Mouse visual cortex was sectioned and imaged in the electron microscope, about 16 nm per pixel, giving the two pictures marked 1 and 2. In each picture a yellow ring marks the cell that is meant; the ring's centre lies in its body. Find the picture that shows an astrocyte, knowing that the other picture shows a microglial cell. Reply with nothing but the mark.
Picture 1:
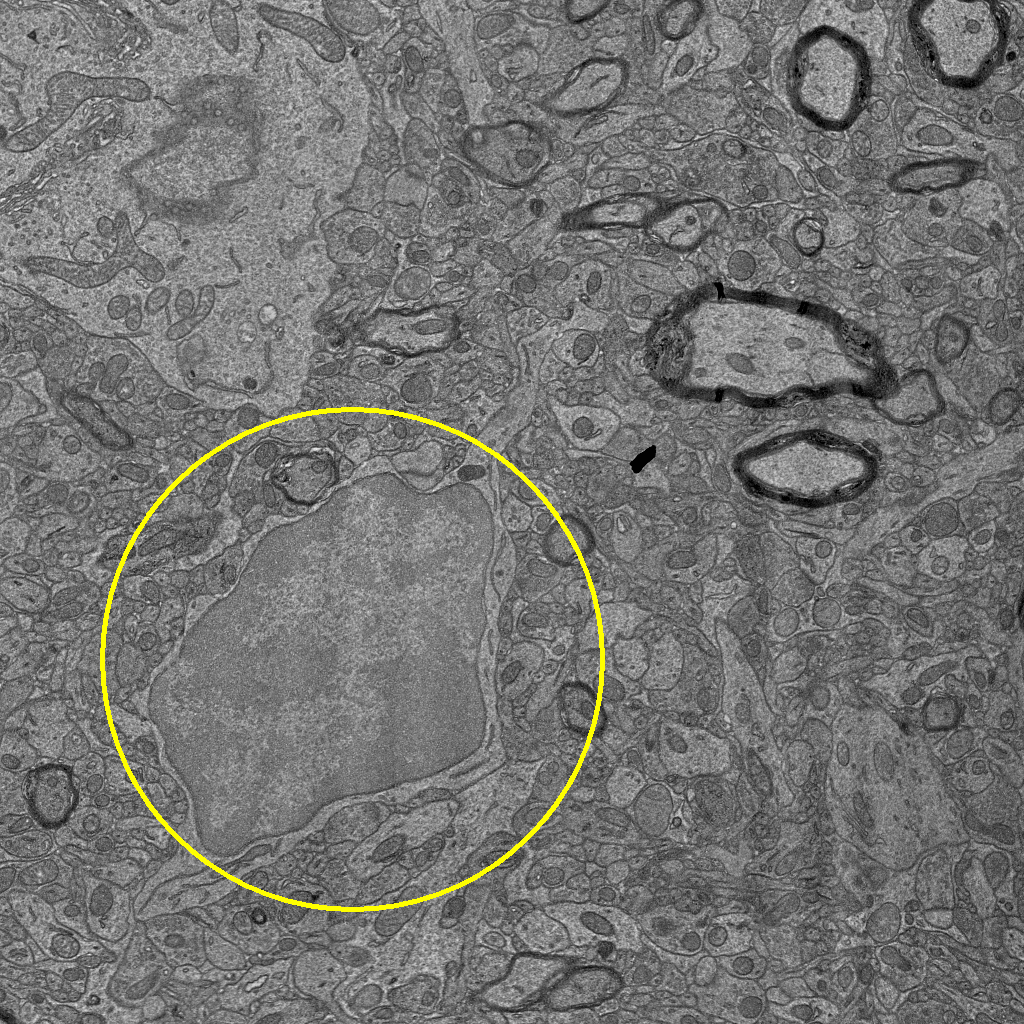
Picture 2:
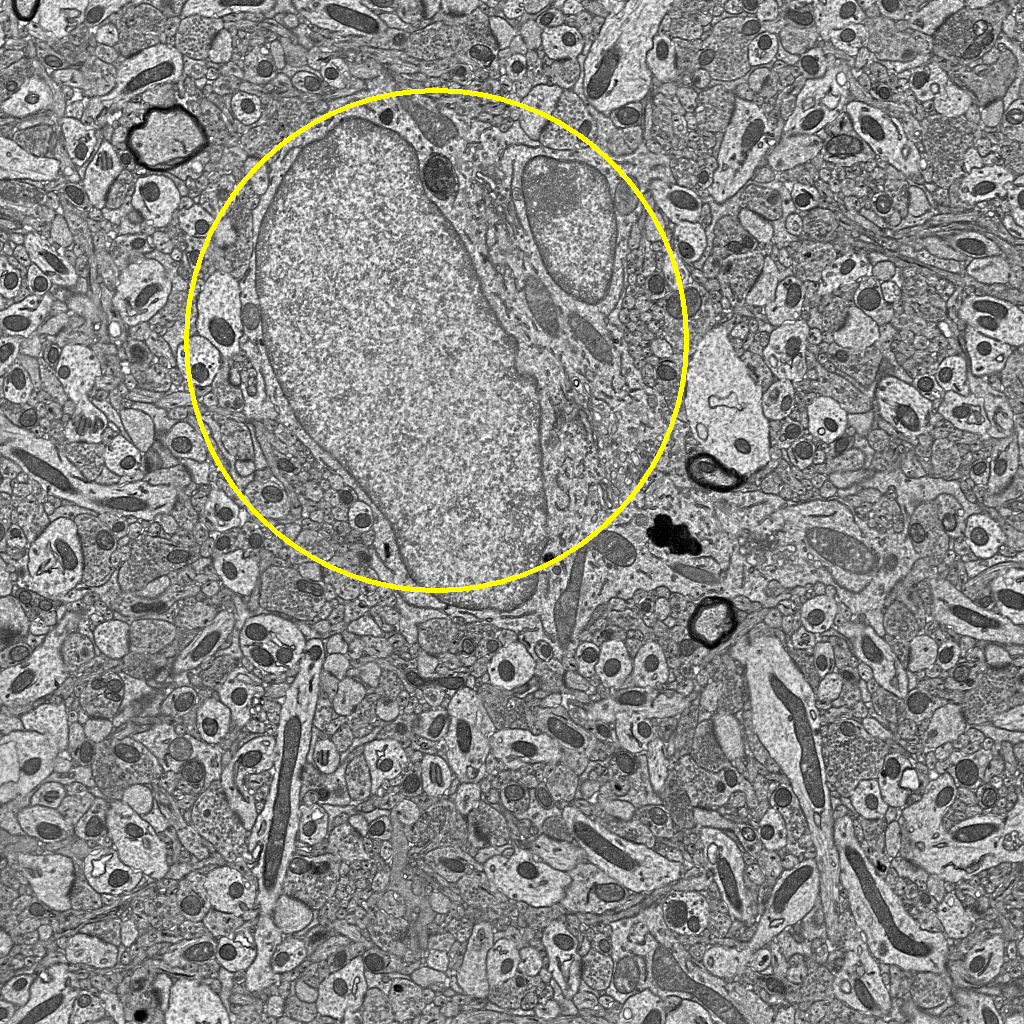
2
